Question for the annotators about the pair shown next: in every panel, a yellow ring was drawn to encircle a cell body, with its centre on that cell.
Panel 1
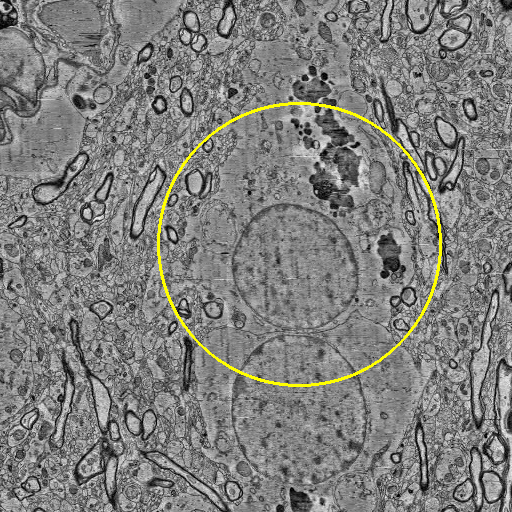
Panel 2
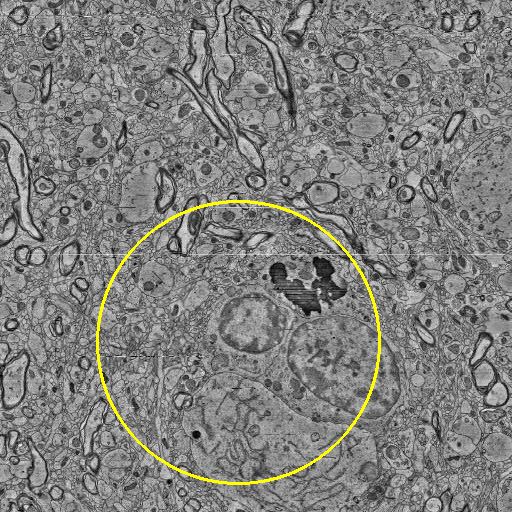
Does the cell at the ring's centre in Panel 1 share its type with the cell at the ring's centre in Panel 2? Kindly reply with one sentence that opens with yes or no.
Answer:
No, in Panels 1 and 2 the cells at the ring centres belong to separate types.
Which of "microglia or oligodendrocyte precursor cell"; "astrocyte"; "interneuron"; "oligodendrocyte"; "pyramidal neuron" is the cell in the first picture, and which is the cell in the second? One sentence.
The two differ: the first cell is an astrocyte and the second is an oligodendrocyte.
